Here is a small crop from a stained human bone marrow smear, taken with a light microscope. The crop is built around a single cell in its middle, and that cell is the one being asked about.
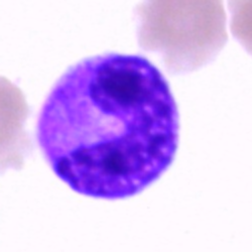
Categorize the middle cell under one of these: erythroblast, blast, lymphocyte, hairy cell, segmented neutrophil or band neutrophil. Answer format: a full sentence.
The cell at the middle of the crop is recognized as a band neutrophil.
